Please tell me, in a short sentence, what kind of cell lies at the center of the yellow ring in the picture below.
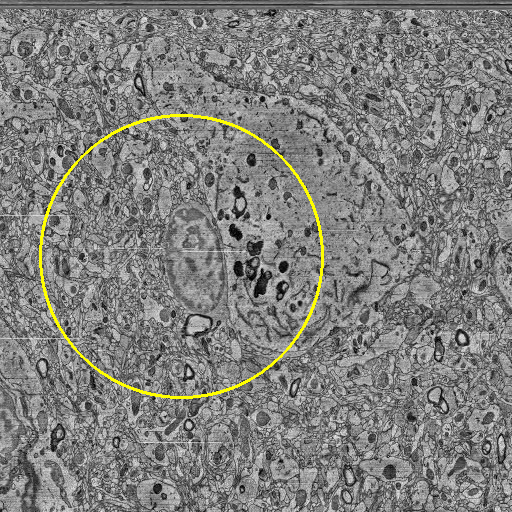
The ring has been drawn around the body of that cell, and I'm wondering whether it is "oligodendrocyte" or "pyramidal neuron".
The cell at the center of the ring is an oligodendrocyte.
